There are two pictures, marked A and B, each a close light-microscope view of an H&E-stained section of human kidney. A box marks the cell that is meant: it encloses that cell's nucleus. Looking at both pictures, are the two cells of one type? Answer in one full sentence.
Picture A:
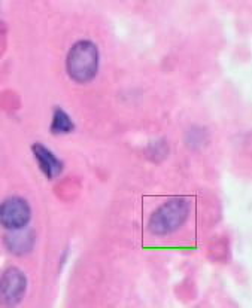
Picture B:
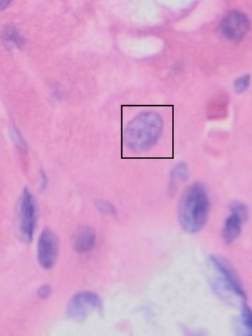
Yes; the cells in both pictures are proximal tubule cells.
